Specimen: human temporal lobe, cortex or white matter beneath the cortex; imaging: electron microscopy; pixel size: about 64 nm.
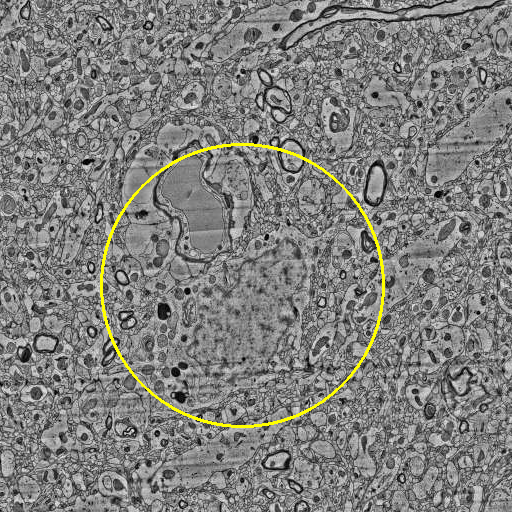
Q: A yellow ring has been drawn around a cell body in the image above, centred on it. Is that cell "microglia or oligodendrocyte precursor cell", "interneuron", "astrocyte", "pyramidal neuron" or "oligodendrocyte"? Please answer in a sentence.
The ring surrounds the cell body of an interneuron.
